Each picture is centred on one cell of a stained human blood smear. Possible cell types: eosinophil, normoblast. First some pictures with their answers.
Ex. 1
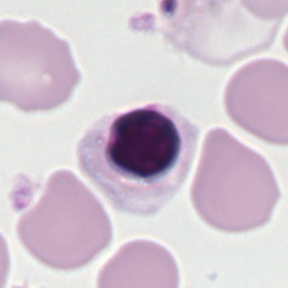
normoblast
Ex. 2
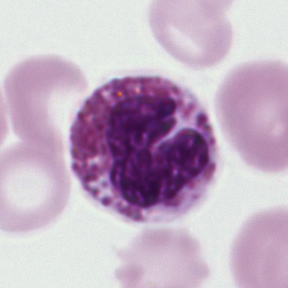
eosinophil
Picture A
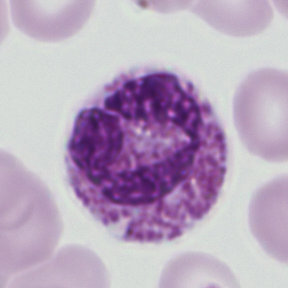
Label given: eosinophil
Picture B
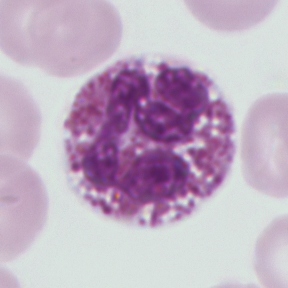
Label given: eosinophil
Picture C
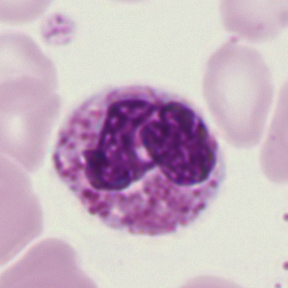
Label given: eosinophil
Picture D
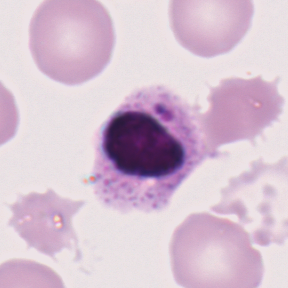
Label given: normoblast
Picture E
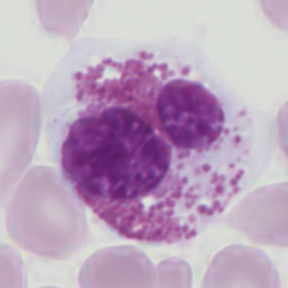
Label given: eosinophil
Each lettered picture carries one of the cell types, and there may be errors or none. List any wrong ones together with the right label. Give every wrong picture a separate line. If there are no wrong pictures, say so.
All correct.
